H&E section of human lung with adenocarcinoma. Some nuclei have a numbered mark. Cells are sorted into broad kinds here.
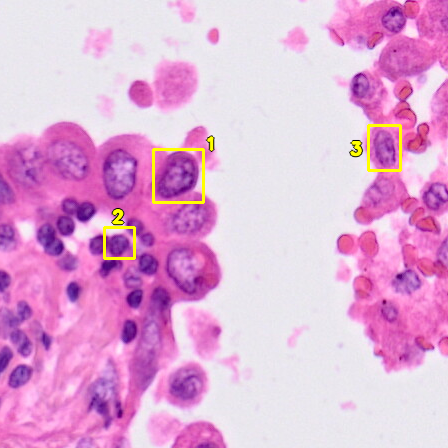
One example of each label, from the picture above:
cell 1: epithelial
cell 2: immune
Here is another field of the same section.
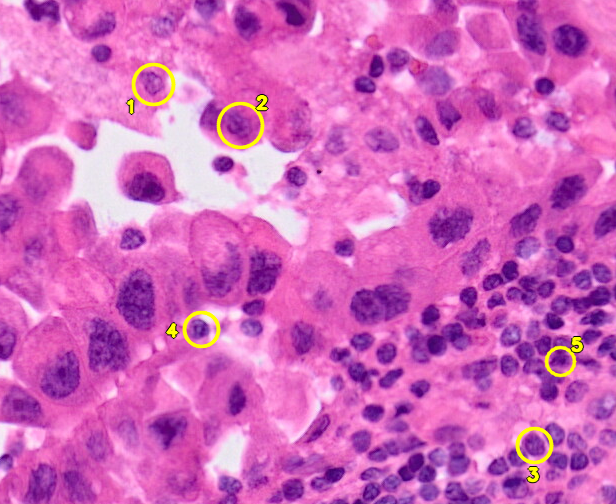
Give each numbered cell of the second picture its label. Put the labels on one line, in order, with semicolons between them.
immune; epithelial; immune; immune; immune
